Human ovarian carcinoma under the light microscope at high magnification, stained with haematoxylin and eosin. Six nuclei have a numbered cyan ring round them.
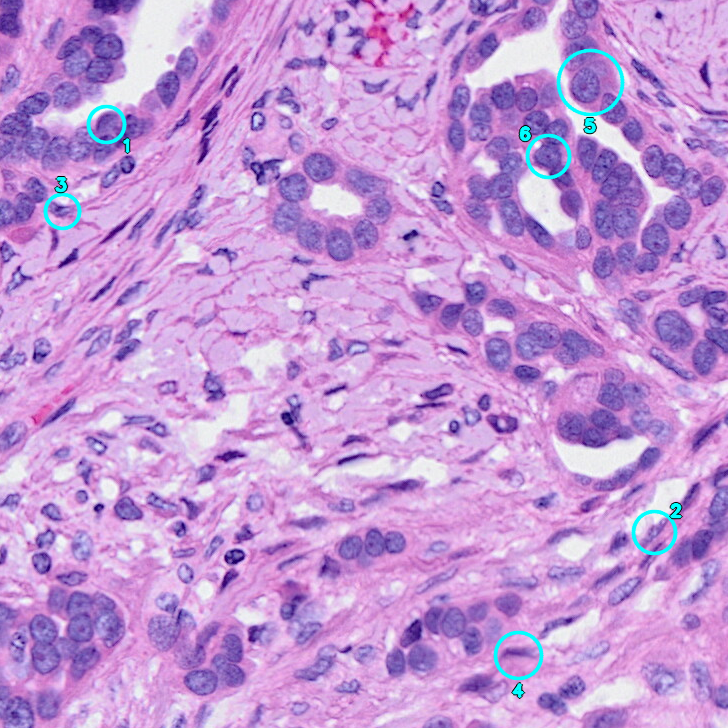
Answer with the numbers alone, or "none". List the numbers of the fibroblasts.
2, 3, 4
